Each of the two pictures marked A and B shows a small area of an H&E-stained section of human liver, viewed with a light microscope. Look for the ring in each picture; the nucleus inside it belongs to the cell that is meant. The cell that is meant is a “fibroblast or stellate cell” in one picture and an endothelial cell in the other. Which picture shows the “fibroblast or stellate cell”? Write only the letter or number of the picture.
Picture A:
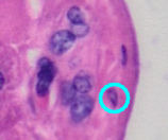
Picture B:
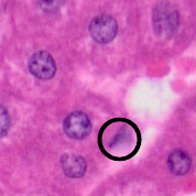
A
